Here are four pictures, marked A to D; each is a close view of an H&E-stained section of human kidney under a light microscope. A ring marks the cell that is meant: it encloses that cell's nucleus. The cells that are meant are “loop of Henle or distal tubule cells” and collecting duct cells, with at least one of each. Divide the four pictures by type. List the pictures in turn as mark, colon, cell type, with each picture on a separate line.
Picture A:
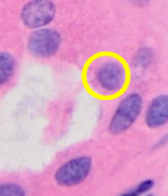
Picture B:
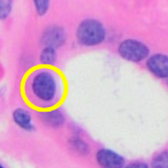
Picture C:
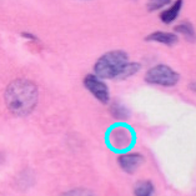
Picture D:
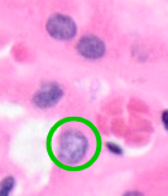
A: loop of Henle or distal tubule cell
B: collecting duct cell
C: collecting duct cell
D: loop of Henle or distal tubule cell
